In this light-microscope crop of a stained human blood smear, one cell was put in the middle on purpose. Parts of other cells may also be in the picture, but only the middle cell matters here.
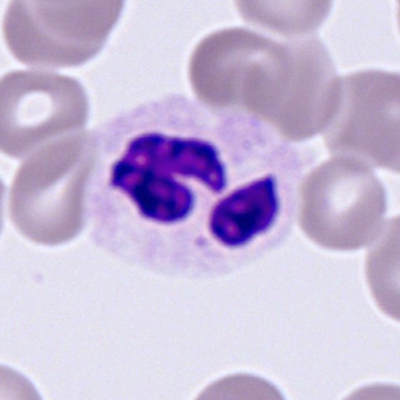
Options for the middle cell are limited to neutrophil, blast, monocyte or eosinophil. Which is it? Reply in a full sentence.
The middle of this crop is occupied by a neutrophil.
